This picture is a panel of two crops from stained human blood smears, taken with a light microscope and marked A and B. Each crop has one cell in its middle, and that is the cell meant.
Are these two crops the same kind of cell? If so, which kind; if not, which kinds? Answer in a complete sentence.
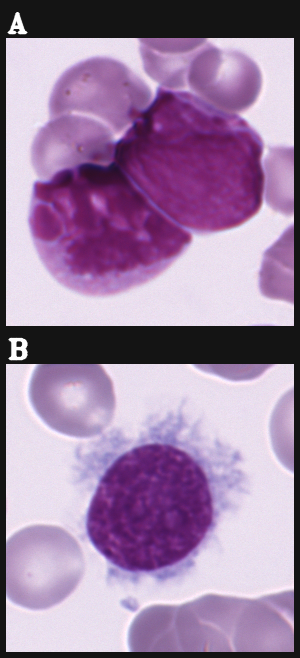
No, in fact crop A shows a myeloblast, and crop B shows a hairy cell.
